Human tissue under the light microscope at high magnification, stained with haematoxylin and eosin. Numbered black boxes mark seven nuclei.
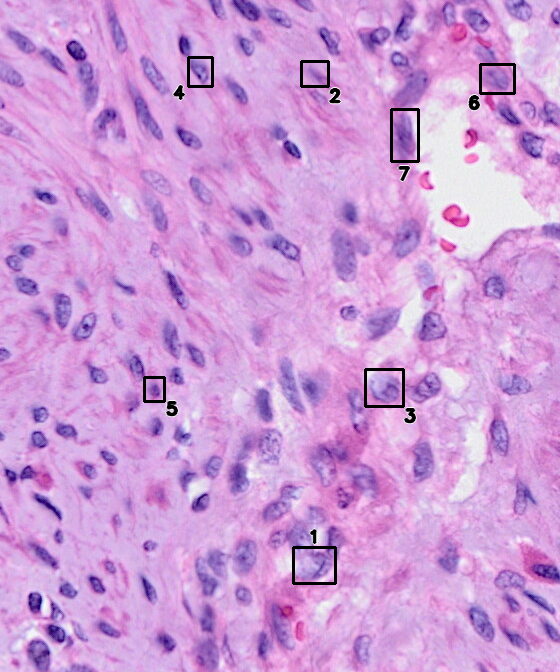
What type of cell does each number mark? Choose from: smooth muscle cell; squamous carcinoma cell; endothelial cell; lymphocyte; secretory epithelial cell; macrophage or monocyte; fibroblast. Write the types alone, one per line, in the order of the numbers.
endothelial cell
smooth muscle cell
endothelial cell
smooth muscle cell
smooth muscle cell
endothelial cell
endothelial cell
